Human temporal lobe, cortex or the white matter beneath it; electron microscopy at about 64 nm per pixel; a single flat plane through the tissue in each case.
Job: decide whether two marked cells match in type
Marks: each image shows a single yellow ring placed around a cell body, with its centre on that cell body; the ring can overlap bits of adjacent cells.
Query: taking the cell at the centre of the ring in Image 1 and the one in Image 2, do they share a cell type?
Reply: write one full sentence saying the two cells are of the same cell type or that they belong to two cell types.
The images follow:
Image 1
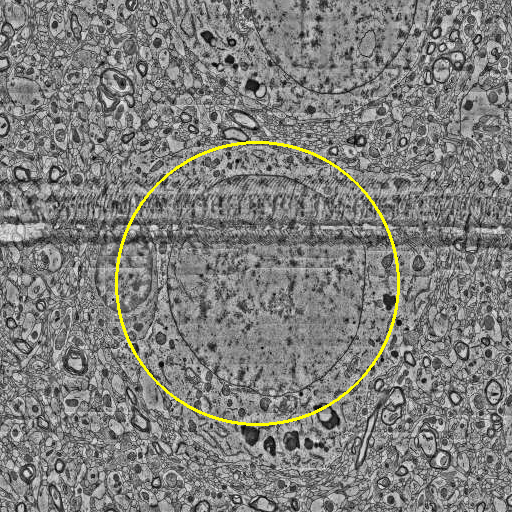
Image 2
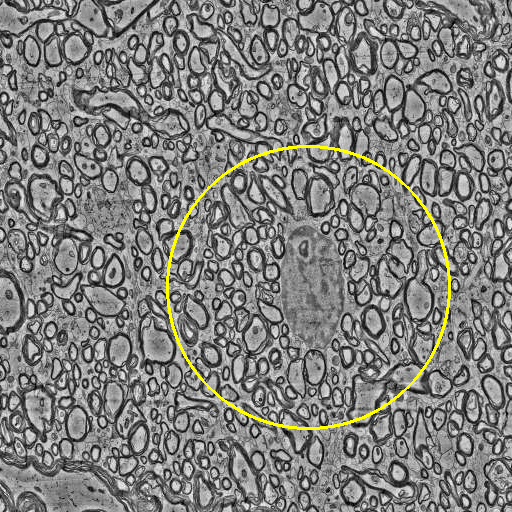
The cells at the ring centres in Image 1 and Image 2 belong to two cell types.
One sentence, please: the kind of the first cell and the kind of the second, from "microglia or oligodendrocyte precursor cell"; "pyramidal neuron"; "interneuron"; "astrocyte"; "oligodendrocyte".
The ring in the first picture surrounds a pyramidal neuron, and the ring in the second surrounds an oligodendrocyte.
